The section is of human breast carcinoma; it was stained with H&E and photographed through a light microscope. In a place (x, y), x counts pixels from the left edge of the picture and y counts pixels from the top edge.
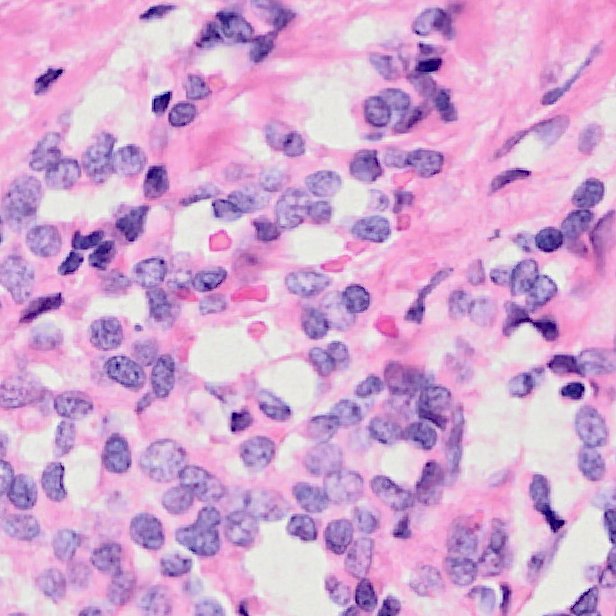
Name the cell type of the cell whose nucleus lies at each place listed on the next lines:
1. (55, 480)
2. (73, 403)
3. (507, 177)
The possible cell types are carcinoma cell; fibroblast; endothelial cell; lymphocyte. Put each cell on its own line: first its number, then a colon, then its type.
1: carcinoma cell
2: carcinoma cell
3: endothelial cell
